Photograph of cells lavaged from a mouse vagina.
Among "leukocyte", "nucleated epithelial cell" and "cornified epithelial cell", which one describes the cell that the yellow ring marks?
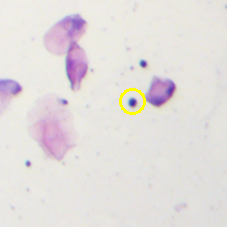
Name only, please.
leukocyte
